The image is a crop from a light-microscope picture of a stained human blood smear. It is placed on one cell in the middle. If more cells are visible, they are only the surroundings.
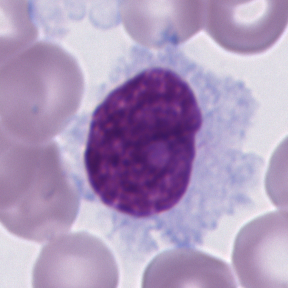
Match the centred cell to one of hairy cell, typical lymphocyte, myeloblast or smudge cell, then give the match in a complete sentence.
The central element of this crop is a cell, namely a hairy cell.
